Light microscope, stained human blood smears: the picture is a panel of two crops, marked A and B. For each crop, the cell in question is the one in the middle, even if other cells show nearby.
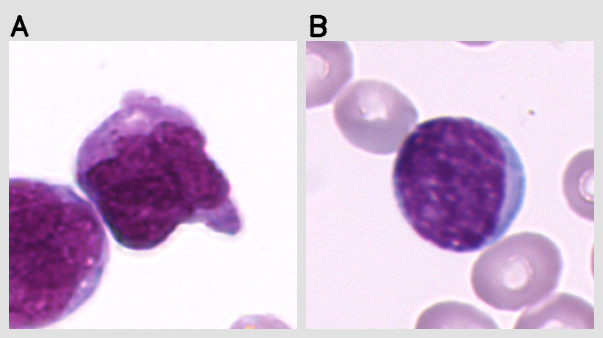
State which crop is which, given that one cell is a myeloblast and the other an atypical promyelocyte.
A: atypical promyelocyte
B: myeloblast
